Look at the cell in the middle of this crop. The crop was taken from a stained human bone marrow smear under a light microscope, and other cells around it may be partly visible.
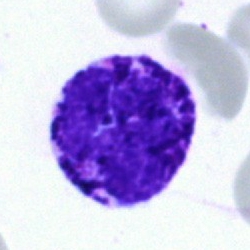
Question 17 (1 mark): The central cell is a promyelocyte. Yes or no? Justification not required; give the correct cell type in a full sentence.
No, the central cell should be identified as a basophil, not as a promyelocyte.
